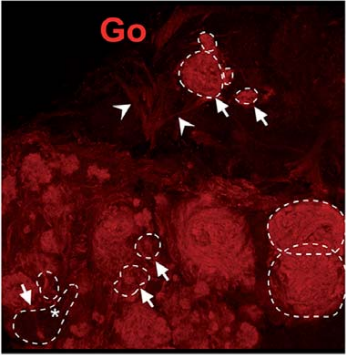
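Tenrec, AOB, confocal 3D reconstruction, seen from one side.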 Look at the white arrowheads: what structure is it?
Fibers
